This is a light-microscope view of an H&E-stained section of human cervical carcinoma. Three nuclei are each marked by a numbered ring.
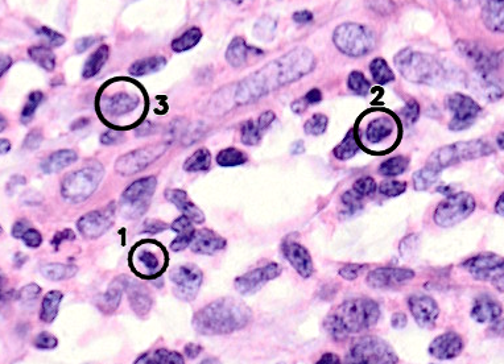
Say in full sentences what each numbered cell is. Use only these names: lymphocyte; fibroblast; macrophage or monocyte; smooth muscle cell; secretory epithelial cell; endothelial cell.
Cell 1 is a lymphocyte, cell 2 is a lymphocyte and cell 3 is a macrophage or monocyte.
